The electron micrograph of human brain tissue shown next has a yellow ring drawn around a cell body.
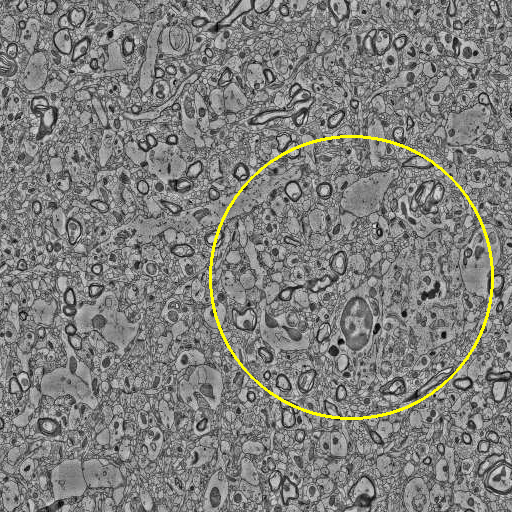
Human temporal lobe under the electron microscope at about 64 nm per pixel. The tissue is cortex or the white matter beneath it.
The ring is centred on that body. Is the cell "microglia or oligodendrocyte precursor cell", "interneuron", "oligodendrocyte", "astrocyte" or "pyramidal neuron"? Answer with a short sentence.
The cell in question is a microglial cell or oligodendrocyte precursor cell.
